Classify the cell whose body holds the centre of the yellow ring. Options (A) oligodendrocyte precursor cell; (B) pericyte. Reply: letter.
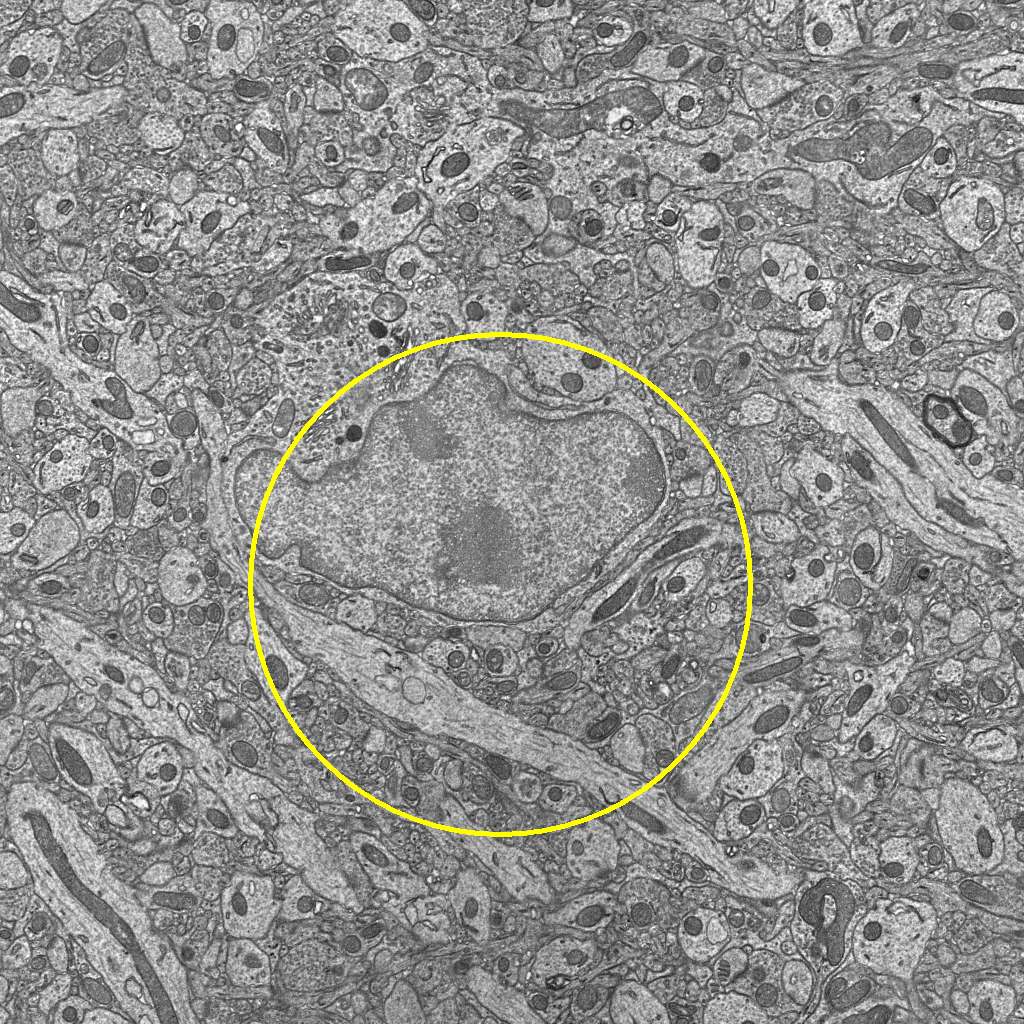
A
